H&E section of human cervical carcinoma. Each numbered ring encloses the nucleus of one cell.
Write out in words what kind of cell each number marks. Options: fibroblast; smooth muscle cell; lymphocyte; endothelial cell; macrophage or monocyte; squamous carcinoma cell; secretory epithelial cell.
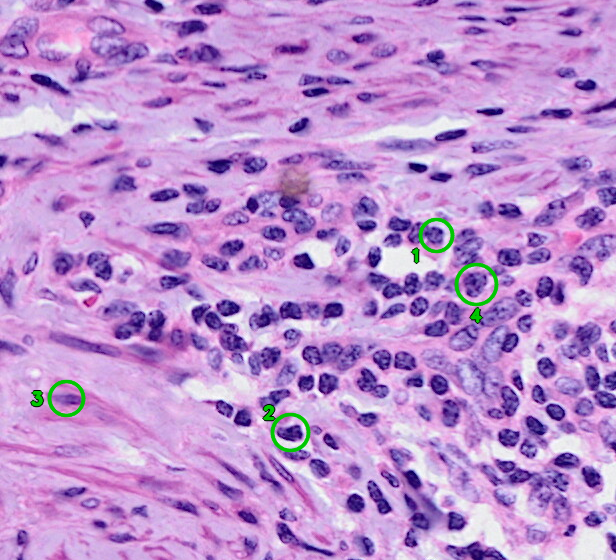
Cell 1 is a lymphocyte, cell 2 is a lymphocyte, cell 3 is a smooth muscle cell and cell 4 is a lymphocyte.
